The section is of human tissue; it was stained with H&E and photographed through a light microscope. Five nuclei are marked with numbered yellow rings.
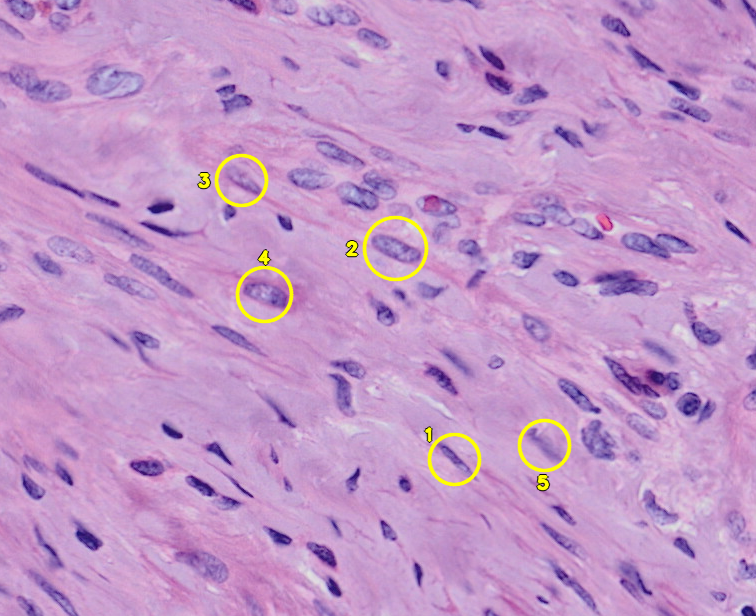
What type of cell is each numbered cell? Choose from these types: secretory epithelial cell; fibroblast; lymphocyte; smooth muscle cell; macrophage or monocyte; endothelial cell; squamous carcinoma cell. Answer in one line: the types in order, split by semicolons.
fibroblast; smooth muscle cell; smooth muscle cell; smooth muscle cell; fibroblast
